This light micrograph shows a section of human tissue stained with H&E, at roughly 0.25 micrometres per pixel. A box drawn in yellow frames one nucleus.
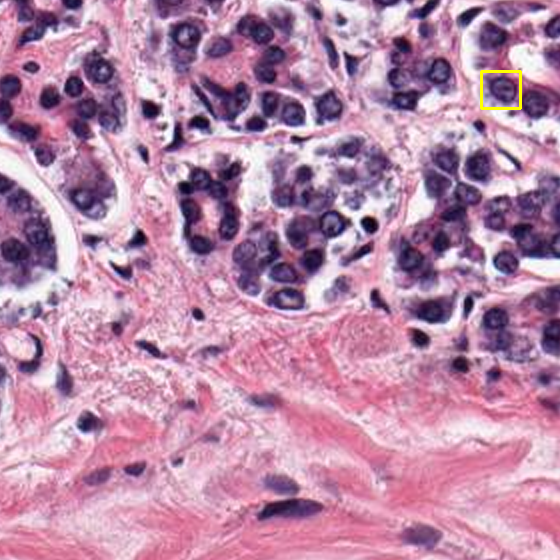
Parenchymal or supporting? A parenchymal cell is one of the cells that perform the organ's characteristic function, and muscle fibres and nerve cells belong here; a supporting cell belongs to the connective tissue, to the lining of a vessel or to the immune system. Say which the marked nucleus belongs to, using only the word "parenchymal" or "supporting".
parenchymal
